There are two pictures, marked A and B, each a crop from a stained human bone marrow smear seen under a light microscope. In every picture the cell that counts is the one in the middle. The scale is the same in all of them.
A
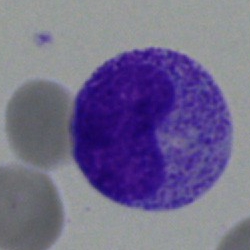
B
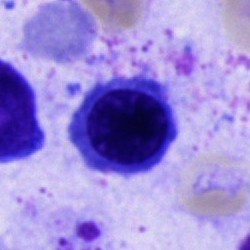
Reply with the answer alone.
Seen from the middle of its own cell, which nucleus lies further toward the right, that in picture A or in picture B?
B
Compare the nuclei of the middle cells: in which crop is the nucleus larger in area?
A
